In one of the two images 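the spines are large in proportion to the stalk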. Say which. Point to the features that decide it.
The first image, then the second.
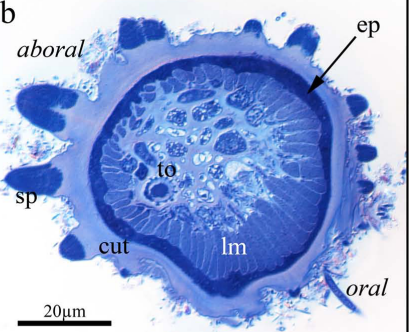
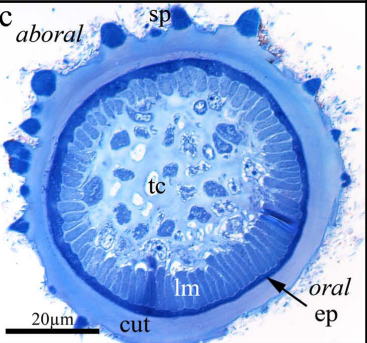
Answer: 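The first image. Second image: a wide round stalk with short spines relative to its diameter. First image: a smaller stalk with spines that are long relative to its diameter.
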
